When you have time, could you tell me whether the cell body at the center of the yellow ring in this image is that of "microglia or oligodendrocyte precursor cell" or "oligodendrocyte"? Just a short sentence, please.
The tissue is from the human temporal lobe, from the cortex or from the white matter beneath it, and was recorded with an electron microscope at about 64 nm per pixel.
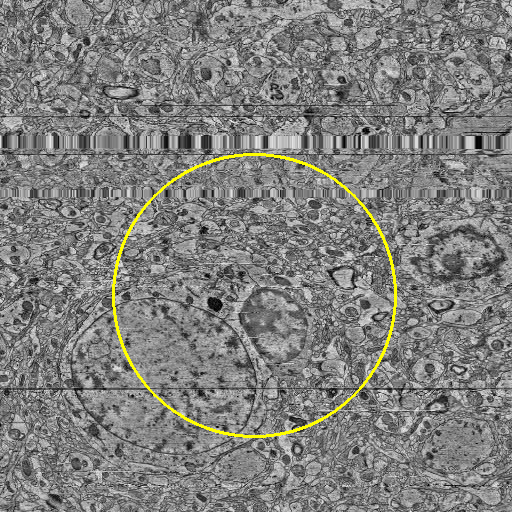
The cell body at the center of the ring is that of an oligodendrocyte.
